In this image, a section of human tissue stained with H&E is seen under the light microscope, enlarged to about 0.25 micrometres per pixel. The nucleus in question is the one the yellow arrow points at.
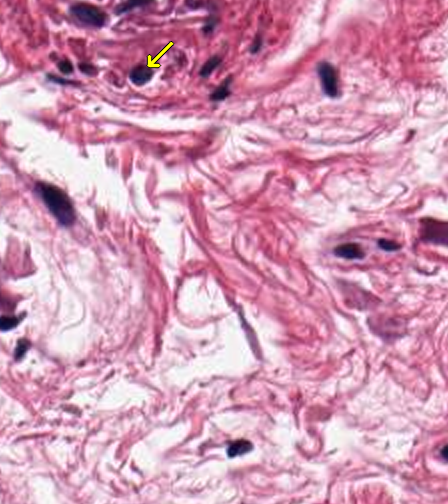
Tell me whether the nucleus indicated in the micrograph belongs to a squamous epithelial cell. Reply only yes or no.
no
